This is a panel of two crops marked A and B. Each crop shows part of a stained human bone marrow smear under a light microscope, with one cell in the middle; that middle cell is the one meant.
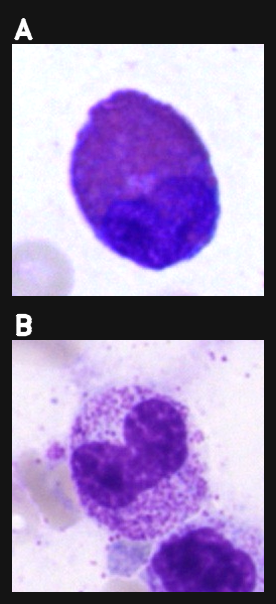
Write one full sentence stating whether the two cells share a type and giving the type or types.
No, crop A and crop B contain, respectively, an eosinophil and a metamyelocyte.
